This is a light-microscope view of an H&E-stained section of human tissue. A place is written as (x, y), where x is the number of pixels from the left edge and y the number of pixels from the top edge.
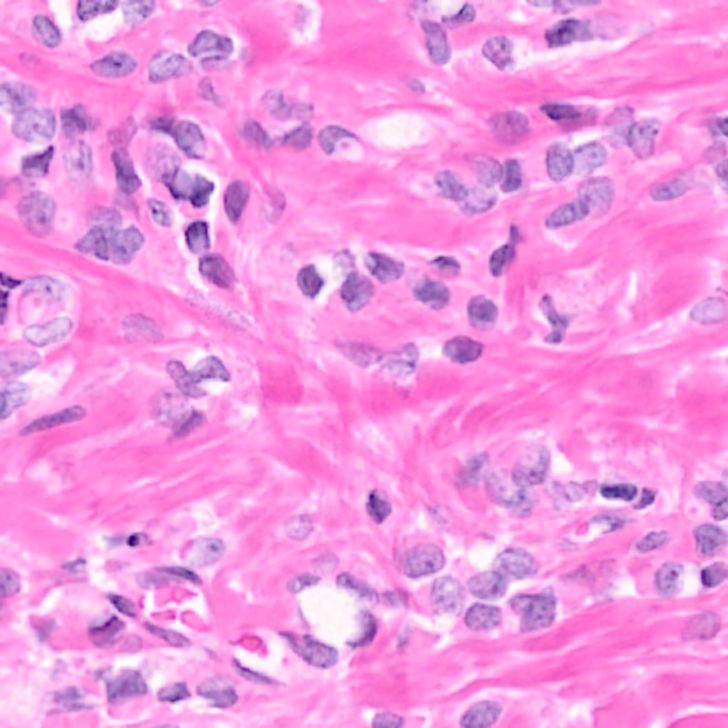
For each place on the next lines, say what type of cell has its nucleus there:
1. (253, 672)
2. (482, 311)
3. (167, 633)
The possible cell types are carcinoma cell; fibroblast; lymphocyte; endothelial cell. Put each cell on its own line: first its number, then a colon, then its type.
1: endothelial cell
2: carcinoma cell
3: endothelial cell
